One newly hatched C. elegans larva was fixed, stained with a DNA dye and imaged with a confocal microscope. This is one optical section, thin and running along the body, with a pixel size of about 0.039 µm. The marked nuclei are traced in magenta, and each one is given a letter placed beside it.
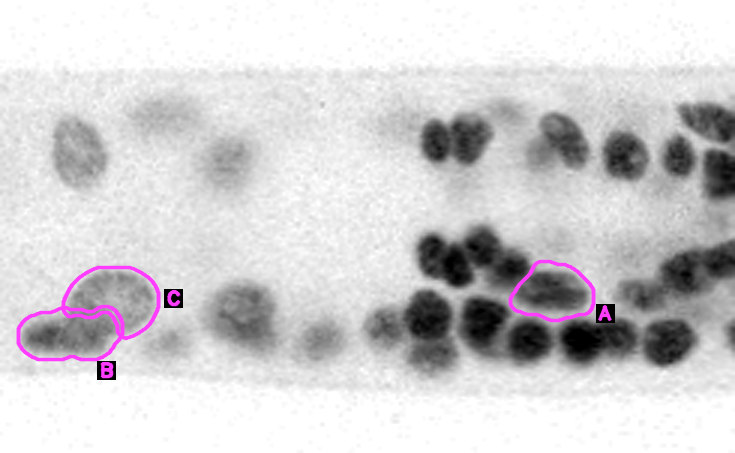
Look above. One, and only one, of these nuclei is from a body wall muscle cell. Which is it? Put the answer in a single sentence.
Nucleus B belongs to a body wall muscle cell.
